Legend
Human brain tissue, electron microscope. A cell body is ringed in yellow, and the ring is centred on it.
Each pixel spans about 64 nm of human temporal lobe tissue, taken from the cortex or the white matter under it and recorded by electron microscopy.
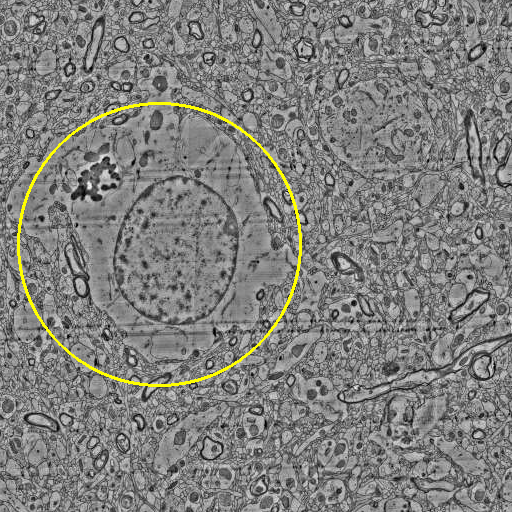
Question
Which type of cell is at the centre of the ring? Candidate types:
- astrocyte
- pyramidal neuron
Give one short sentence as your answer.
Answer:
The yellow ring is centred here on an astrocyte.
